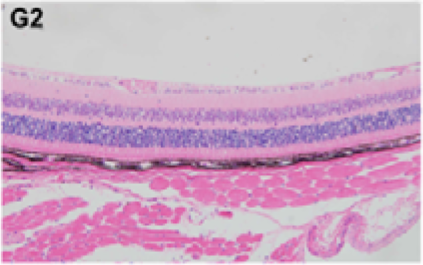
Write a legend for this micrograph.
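A cross-section of retina stained with hematoxylin and eosin shows the typical stacked layers. At the inner surface a thin row of scattered nuclei forms the ganglion cell layer over nerve fibres, followed by a broad pale pink inner plexiform layer. Below it lies a purple band of packed nuclei, the inner nuclear layer, then a thin pink outer plexiform layer and a thicker band of very densely packed small round nuclei, the outer nuclear layer. Beyond come pale photoreceptor segments and a dark pigmented epithelium. Beneath the eye wall lie loose connective tissue and pink muscle bundles.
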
